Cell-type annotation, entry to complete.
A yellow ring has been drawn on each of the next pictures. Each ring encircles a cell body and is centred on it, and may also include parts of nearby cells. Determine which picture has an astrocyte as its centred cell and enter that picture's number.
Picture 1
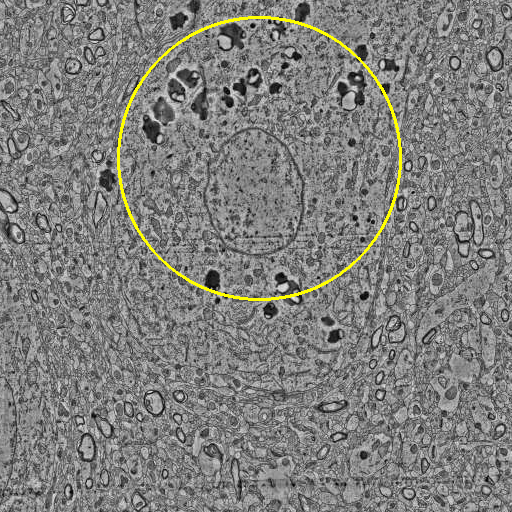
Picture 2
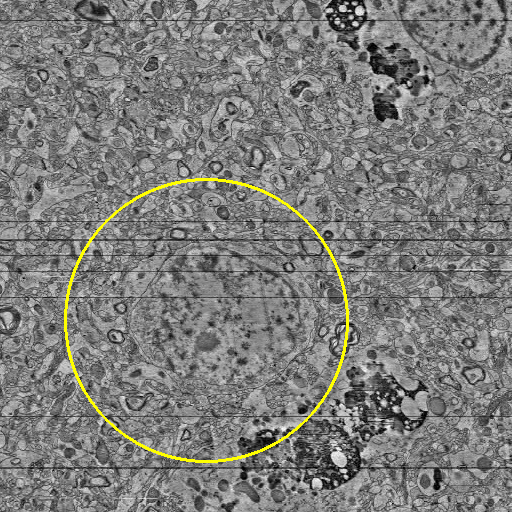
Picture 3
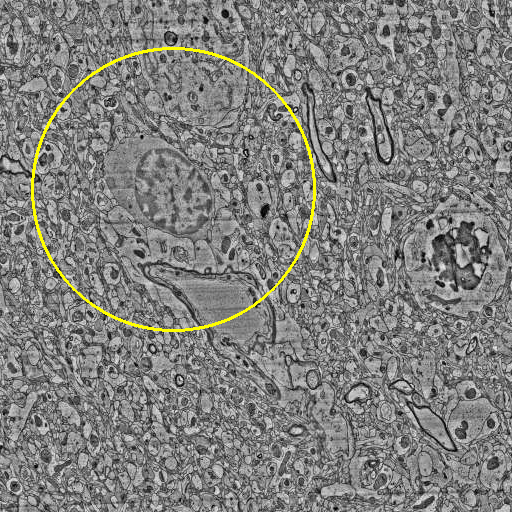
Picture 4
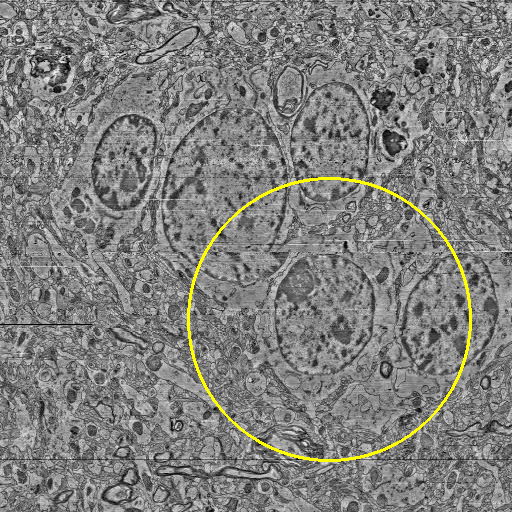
4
